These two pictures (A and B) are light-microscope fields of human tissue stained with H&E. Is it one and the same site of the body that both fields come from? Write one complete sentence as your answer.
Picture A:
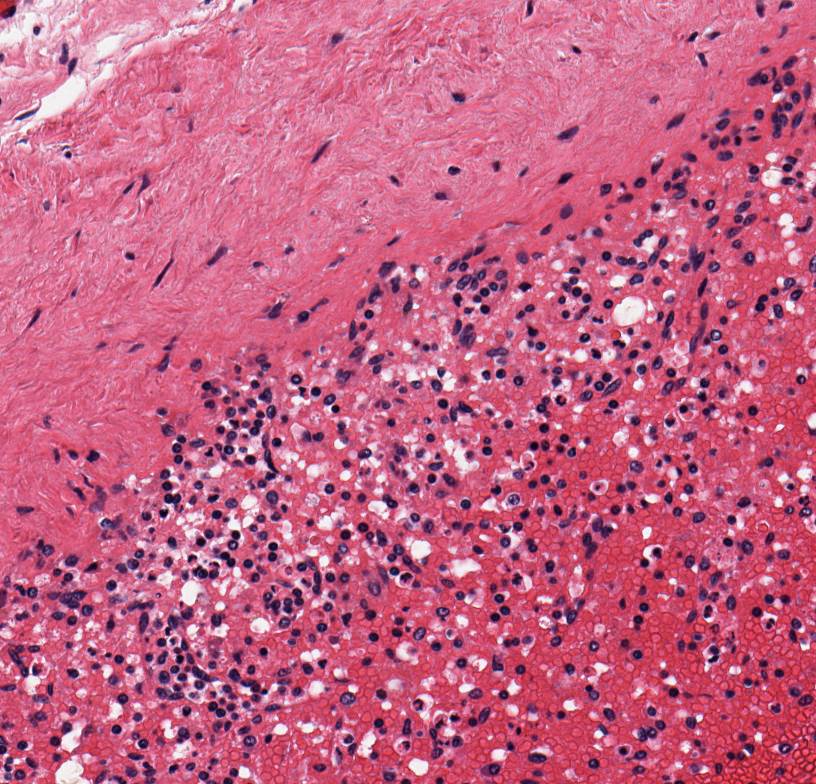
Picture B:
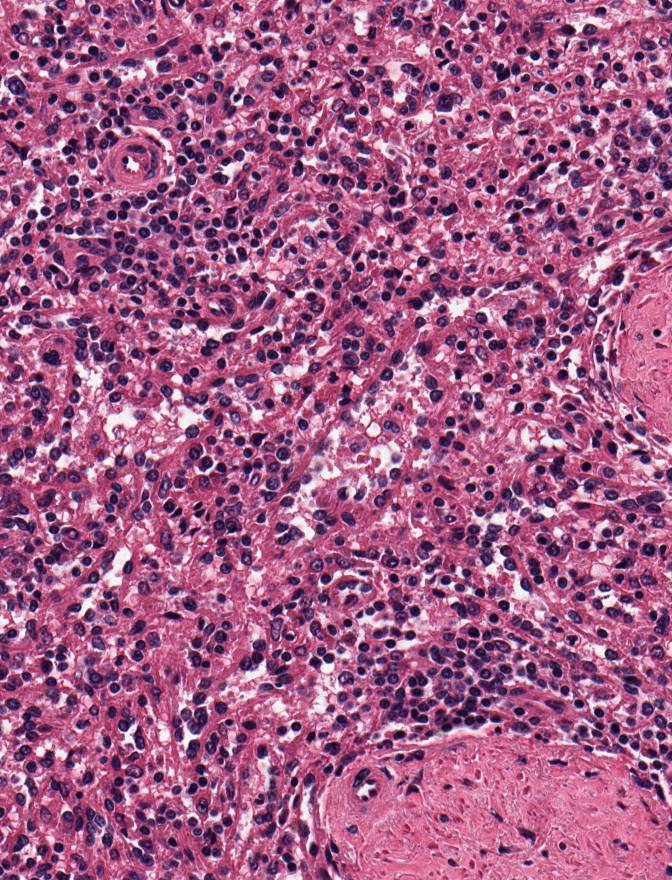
Yes; both pictures come from the spleen.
